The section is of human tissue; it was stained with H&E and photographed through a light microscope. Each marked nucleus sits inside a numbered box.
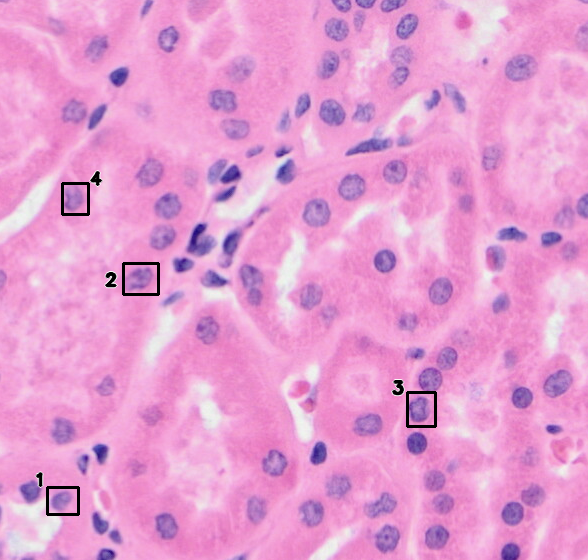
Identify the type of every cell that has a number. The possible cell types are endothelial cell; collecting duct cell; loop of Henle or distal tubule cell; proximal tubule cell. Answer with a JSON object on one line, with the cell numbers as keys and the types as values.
{"1": "loop of Henle or distal tubule cell", "2": "proximal tubule cell", "3": "proximal tubule cell", "4": "proximal tubule cell"}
